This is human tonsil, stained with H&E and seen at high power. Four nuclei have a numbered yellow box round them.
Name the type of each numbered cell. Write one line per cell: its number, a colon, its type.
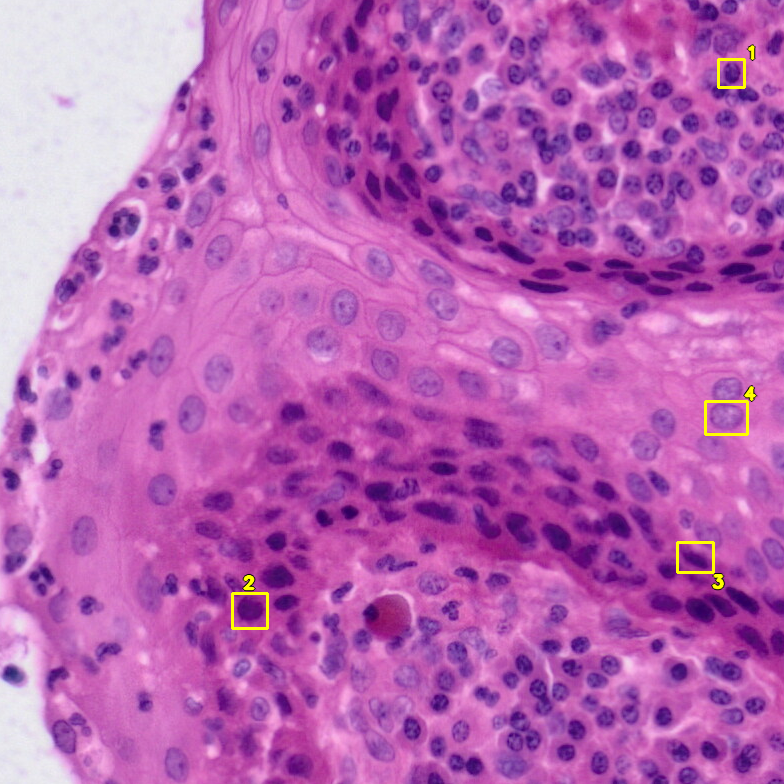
1: plasma cell
2: squamous epithelial cell
3: squamous epithelial cell
4: squamous epithelial cell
